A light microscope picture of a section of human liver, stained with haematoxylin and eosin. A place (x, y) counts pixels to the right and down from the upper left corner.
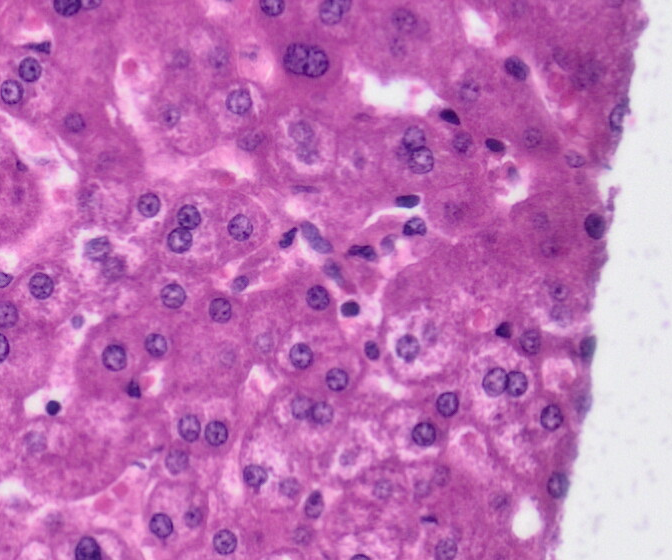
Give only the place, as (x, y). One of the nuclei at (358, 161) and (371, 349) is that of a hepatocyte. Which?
(358, 161)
